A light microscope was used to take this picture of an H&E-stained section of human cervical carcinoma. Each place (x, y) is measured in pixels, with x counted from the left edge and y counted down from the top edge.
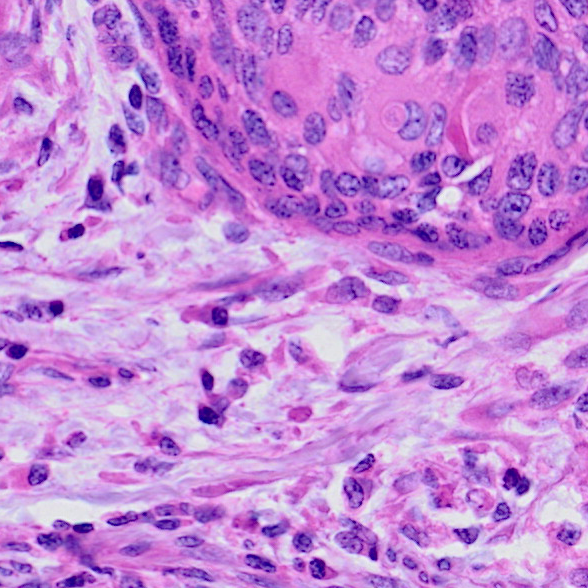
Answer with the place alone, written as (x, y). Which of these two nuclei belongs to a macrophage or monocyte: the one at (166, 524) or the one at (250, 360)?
(250, 360)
